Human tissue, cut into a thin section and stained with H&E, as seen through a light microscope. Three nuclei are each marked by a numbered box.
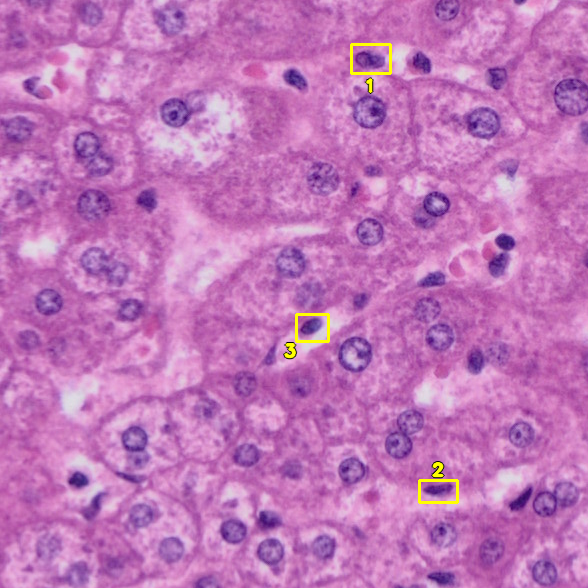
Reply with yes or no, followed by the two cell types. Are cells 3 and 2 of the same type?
No, cell 3 is recognized as a lymphocyte, and cell 2 as an endothelial cell.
